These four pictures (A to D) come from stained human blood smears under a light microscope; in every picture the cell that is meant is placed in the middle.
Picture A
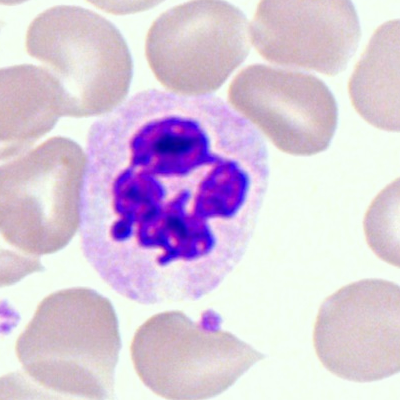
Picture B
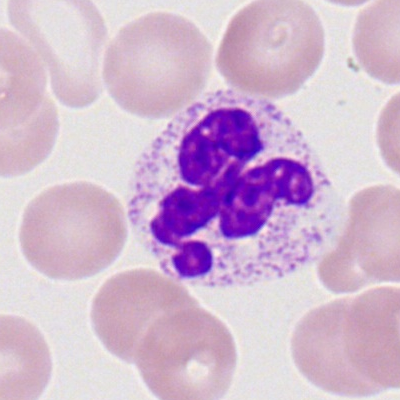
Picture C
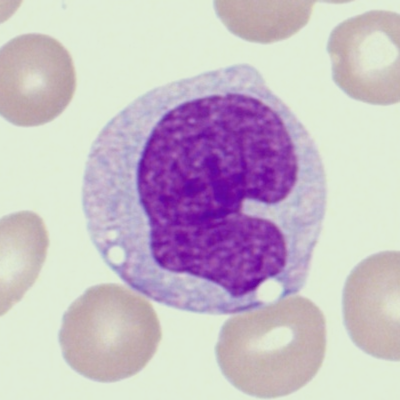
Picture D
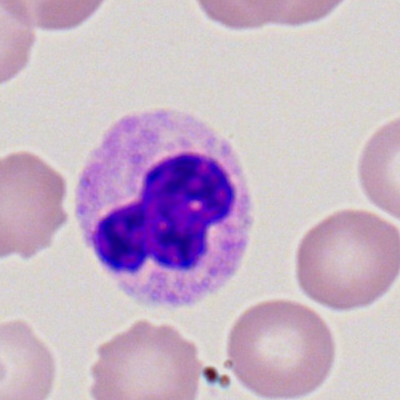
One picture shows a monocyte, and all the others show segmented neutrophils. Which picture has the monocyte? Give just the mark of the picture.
C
